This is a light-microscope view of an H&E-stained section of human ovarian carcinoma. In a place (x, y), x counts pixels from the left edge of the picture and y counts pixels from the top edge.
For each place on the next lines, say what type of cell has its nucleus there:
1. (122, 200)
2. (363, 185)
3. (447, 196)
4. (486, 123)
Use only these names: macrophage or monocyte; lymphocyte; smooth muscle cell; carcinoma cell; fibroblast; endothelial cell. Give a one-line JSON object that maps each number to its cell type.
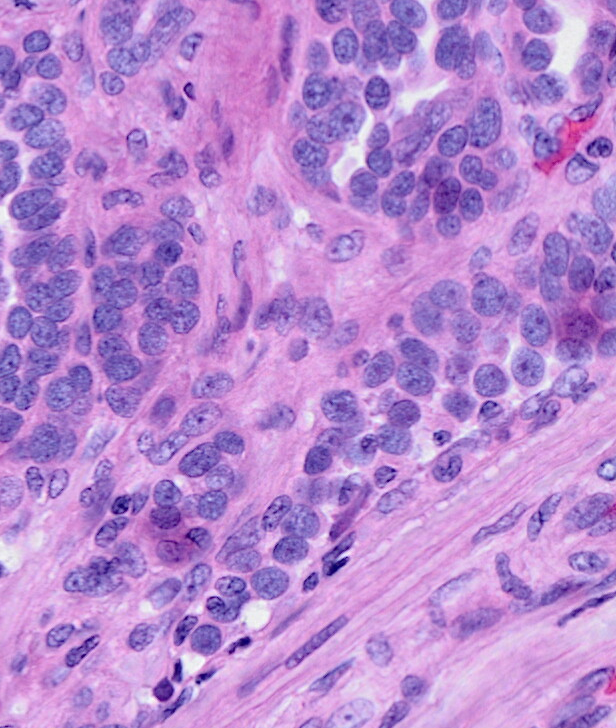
{"1": "fibroblast", "2": "carcinoma cell", "3": "carcinoma cell", "4": "carcinoma cell"}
